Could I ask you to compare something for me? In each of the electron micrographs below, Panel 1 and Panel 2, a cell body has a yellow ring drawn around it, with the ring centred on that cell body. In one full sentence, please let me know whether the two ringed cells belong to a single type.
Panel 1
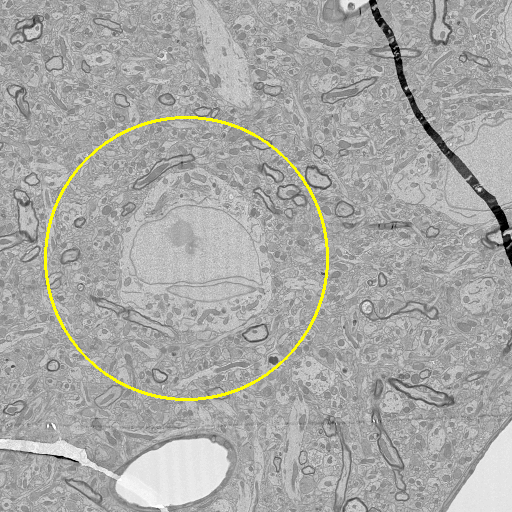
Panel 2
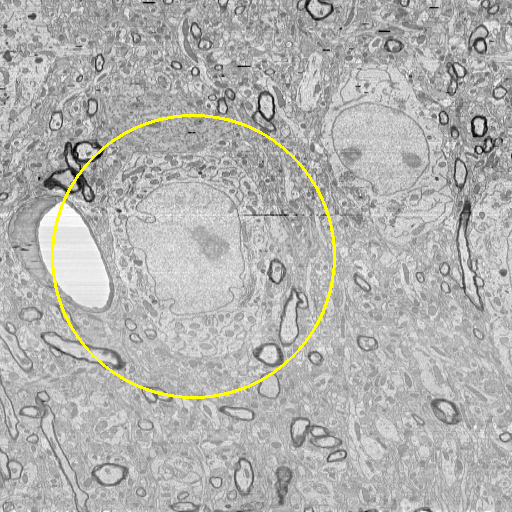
No, the two cells at the centres of the rings are of two types.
